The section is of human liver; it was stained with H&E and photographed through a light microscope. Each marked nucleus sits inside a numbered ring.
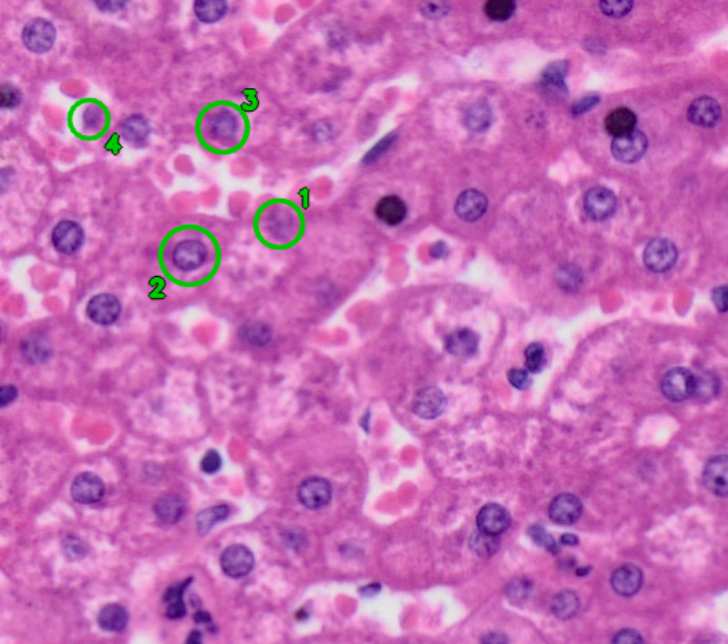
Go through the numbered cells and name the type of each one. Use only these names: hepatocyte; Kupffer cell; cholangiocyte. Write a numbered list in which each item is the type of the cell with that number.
1. hepatocyte
2. hepatocyte
3. hepatocyte
4. Kupffer cell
